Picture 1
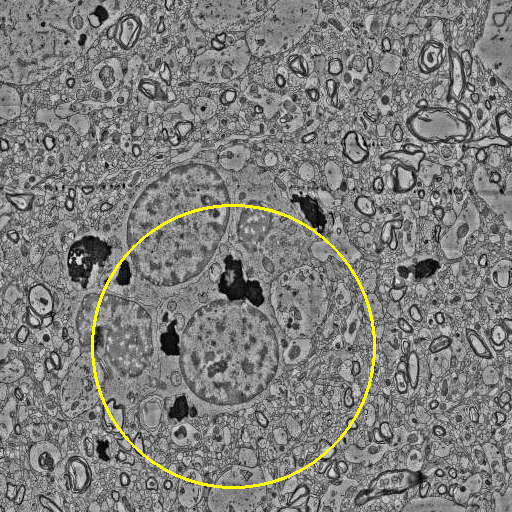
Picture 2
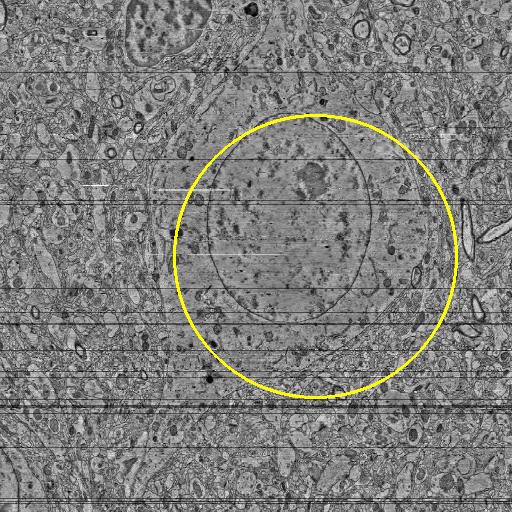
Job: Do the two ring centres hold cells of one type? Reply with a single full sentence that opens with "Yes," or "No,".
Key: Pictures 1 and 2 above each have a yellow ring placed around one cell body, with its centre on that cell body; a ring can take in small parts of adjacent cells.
No, the cells at the two ring centres are of two separate types.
